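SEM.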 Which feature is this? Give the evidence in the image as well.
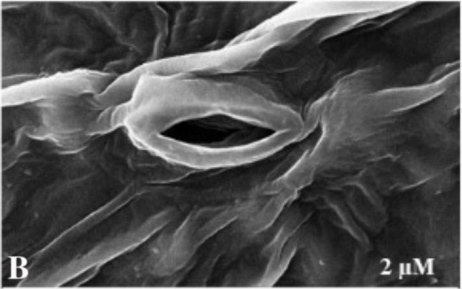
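A single elliptical pore in the middle of the field. Two curved, lip-like cells border the pore. Wrinkled surface cells surround it. The answer: stomata.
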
